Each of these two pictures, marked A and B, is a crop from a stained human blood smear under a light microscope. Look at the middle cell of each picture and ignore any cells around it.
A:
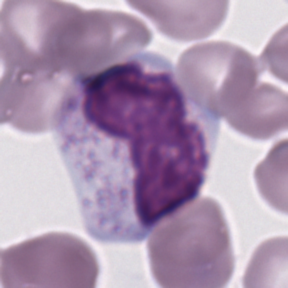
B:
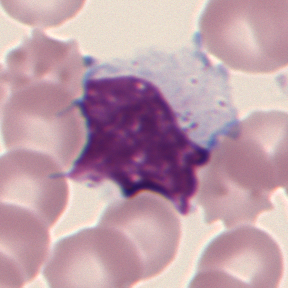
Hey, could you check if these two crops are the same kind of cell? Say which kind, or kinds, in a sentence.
No, crop A shows a myelocyte, and crop B, by contrast, shows a large granular lymphocyte.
